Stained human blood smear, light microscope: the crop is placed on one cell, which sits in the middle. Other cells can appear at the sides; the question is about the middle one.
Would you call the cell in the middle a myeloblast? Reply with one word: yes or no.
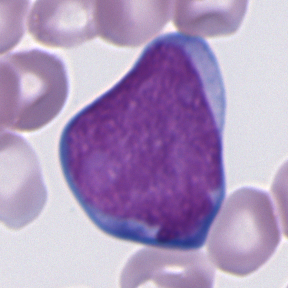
yes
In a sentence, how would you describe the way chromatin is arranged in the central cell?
Coarse clumps are absent, and the chromatin is fine throughout.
